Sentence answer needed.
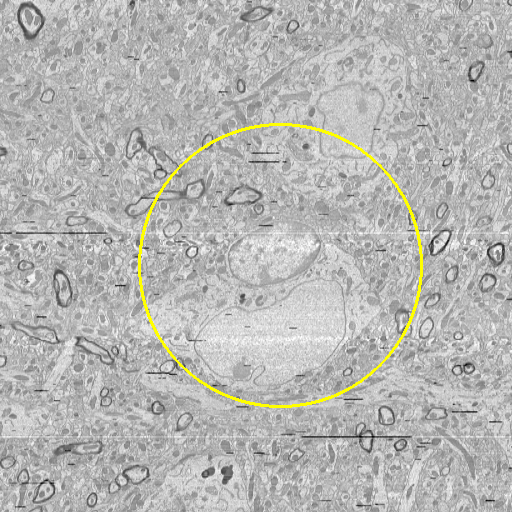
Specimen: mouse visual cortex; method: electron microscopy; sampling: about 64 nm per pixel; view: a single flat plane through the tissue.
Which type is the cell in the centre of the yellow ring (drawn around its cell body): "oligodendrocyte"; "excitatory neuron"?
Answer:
In the centre of the yellow ring is an oligodendrocyte.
